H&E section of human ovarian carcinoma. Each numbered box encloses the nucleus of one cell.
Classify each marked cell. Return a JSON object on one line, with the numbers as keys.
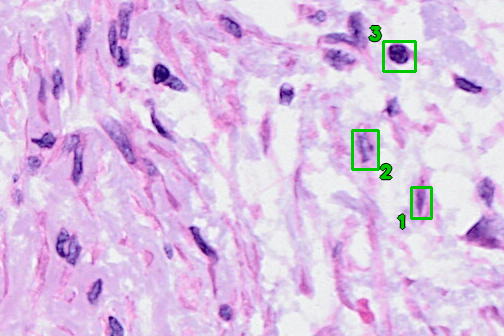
{"1": "fibroblast", "2": "fibroblast", "3": "lymphocyte"}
